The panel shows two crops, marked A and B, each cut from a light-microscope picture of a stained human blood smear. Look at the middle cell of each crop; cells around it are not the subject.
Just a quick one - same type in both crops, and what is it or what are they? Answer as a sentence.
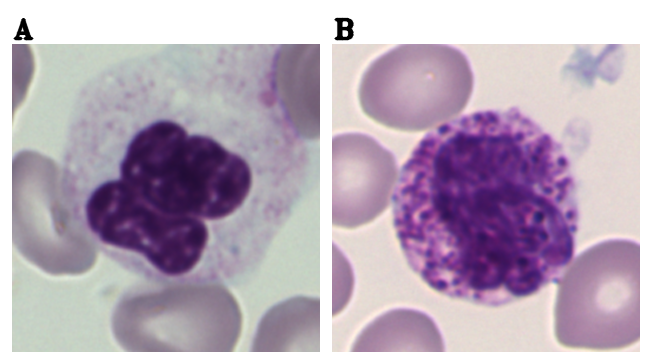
No, mark crop A as a segmented neutrophil and crop B as a basophil.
